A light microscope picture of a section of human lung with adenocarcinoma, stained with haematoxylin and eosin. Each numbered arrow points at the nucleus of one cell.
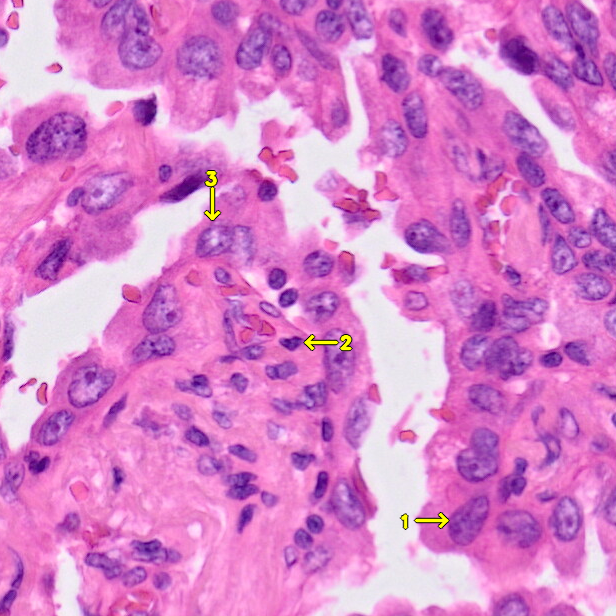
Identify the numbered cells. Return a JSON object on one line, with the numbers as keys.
{"1": "carcinoma cell", "2": "lymphocyte", "3": "carcinoma cell"}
